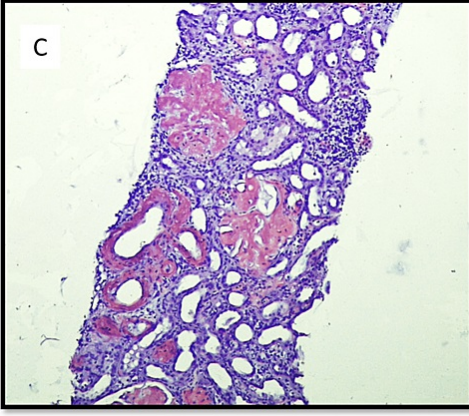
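Several glomeruli are filled with orange-red, smudgy, acellular material. Vessel walls are thickened and ringed by the same orange-red material around open lumens. Around them lie many tubules with blue-stained nuclei and a blue interstitium with scattered inflammatory cells.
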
